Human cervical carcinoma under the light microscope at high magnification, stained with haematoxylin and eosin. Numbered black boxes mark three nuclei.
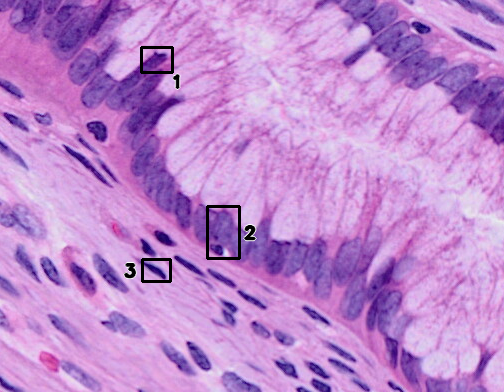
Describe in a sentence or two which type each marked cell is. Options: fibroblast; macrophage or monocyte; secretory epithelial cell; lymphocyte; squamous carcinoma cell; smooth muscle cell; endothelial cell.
Cells 1 and 2 are secretory epithelial cells. Cell 3 is a fibroblast.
